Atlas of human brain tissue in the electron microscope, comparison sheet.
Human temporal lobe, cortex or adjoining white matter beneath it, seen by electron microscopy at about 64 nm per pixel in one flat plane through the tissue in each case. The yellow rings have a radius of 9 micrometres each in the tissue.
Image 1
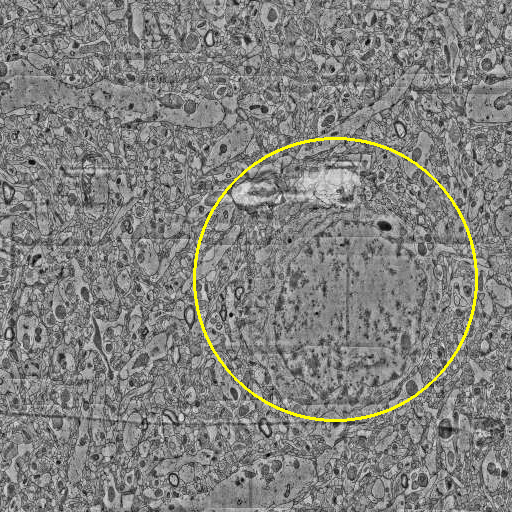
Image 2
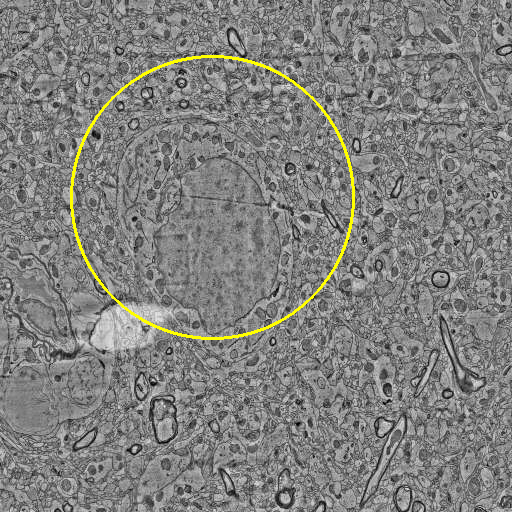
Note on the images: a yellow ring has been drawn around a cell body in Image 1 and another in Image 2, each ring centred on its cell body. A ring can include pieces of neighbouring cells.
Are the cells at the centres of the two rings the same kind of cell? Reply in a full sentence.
Yes, both cells are of the same kind.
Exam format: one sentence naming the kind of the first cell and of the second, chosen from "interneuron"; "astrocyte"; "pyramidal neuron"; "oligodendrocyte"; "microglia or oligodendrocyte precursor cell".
Each of the two rings surrounds an interneuron.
